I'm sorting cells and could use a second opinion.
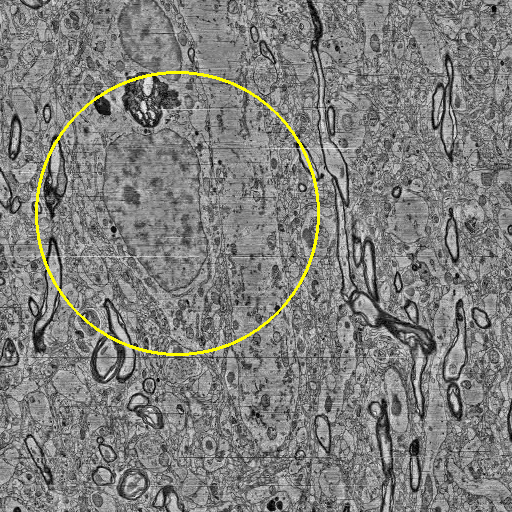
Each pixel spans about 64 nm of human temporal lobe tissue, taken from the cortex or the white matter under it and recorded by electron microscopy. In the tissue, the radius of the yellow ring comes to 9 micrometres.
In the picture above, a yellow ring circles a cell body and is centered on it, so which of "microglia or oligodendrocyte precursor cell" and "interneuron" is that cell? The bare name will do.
interneuron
